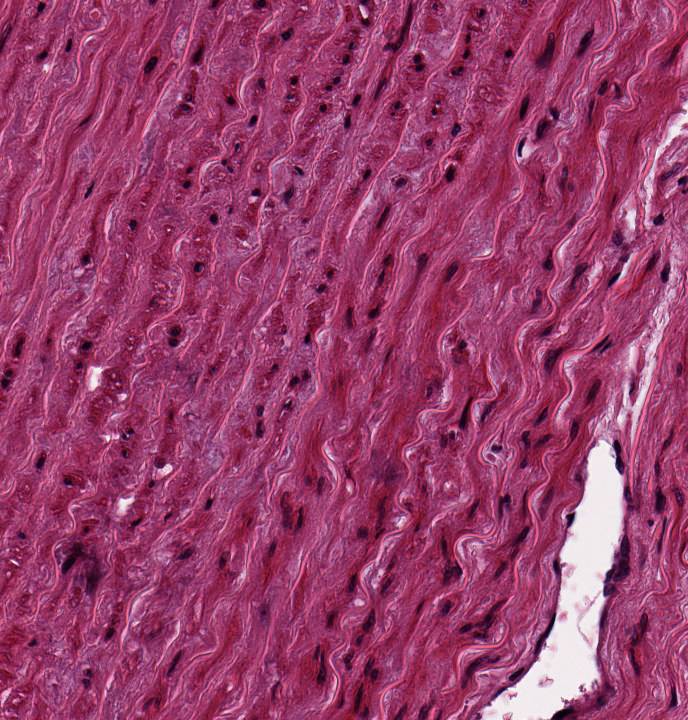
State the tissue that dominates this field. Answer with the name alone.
tunica media of an artery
